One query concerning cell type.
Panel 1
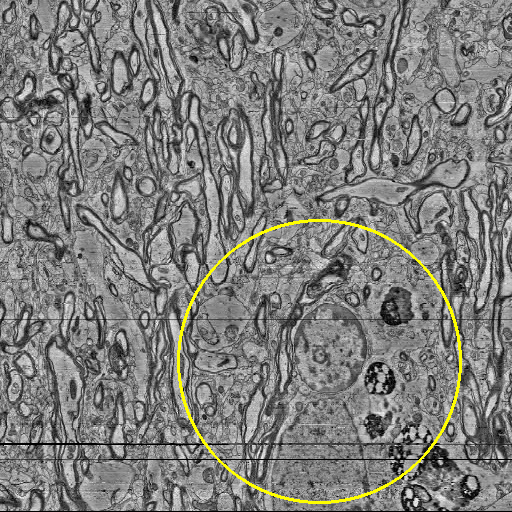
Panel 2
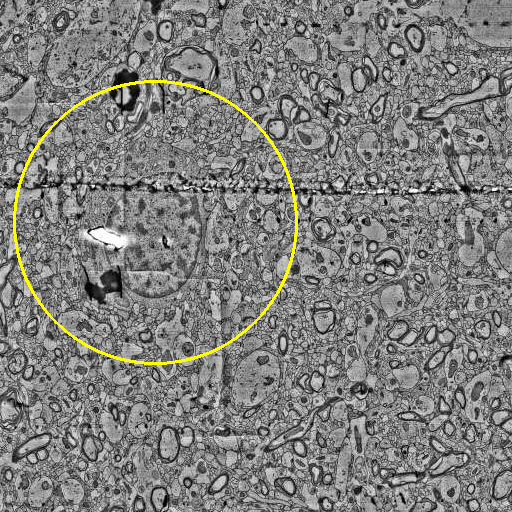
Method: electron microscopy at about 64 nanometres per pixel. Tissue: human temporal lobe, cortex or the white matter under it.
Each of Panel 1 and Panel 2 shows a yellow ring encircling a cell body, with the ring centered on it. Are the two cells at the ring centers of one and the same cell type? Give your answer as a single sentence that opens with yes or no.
No, the cell centered in Panel 1 and the one in Panel 2 are of two types.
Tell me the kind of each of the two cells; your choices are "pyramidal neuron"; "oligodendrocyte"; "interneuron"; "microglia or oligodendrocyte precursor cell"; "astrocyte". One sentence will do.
The ringed cell is a microglial cell or oligodendrocyte precursor cell in the first picture and an oligodendrocyte in the second picture.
